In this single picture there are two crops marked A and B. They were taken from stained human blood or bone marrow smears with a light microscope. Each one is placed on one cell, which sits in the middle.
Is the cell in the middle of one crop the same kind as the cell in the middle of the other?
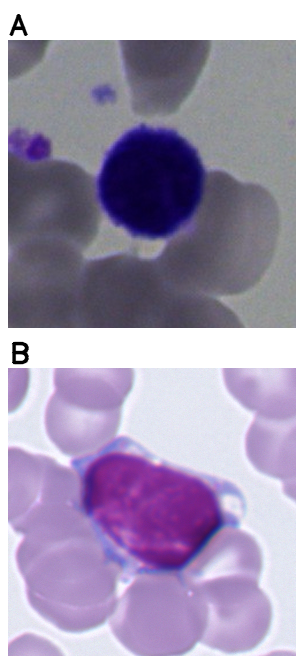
yes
